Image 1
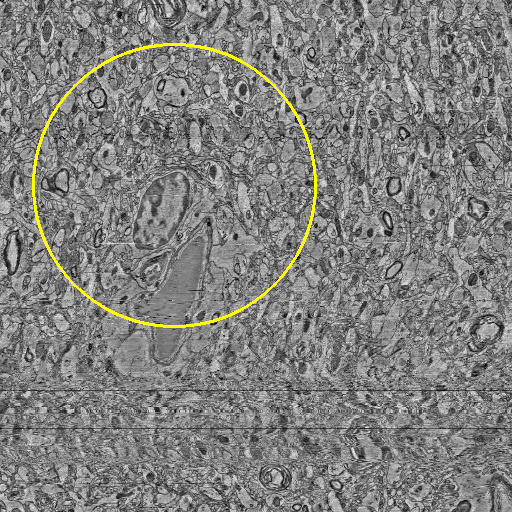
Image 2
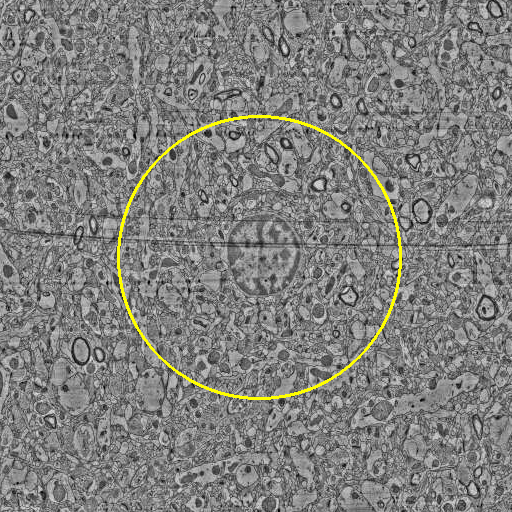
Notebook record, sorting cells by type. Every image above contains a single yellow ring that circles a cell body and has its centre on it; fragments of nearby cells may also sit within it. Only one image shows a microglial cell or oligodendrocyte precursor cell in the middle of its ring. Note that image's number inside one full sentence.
For image 1, the cell in the middle of its yellow ring is the match.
